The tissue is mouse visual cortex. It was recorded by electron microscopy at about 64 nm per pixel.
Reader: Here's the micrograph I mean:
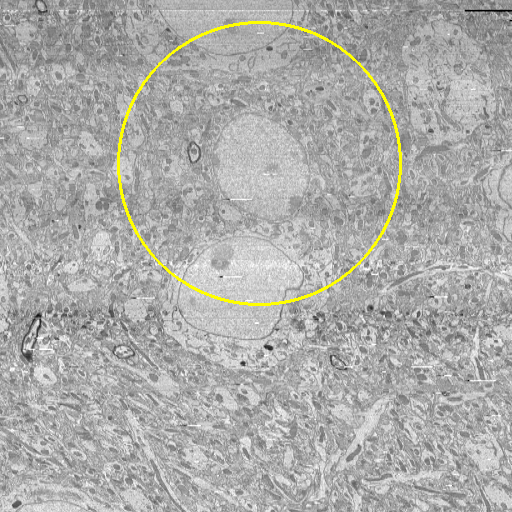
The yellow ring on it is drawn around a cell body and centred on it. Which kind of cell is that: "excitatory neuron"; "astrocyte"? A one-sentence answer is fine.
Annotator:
The ring is centred on an astrocyte.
